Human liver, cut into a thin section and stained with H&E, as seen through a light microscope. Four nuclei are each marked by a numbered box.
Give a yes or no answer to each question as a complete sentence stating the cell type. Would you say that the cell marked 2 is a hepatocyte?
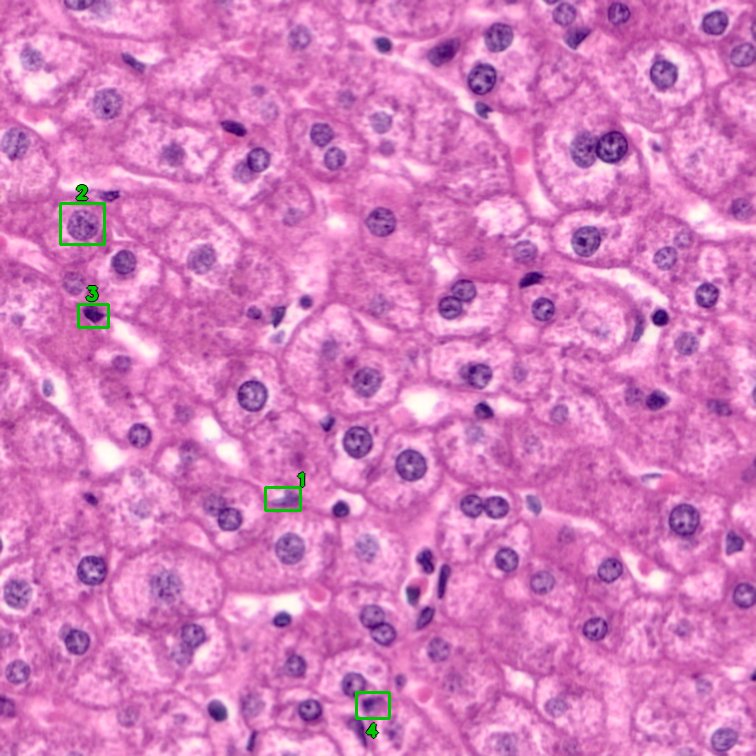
Yes, the cell shown as number 2 is a hepatocyte.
